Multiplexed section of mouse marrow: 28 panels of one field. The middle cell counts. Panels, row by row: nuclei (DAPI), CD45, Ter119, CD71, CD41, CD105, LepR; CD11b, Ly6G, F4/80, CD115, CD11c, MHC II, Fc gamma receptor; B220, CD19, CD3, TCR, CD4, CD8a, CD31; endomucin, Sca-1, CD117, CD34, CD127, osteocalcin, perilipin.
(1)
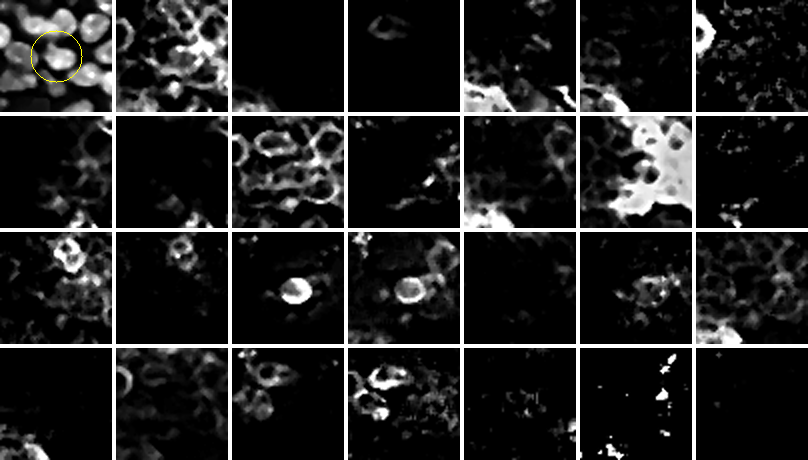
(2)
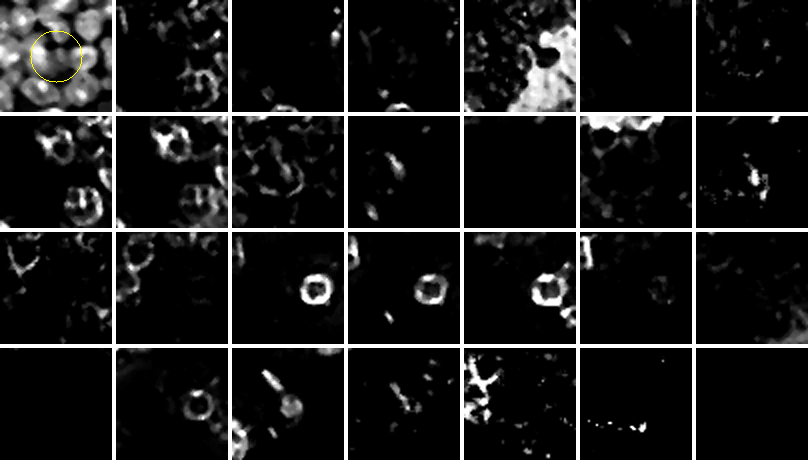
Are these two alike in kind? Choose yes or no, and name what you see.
No. First a double-negative T cell, second a granulocyte-monocyte progenitor.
